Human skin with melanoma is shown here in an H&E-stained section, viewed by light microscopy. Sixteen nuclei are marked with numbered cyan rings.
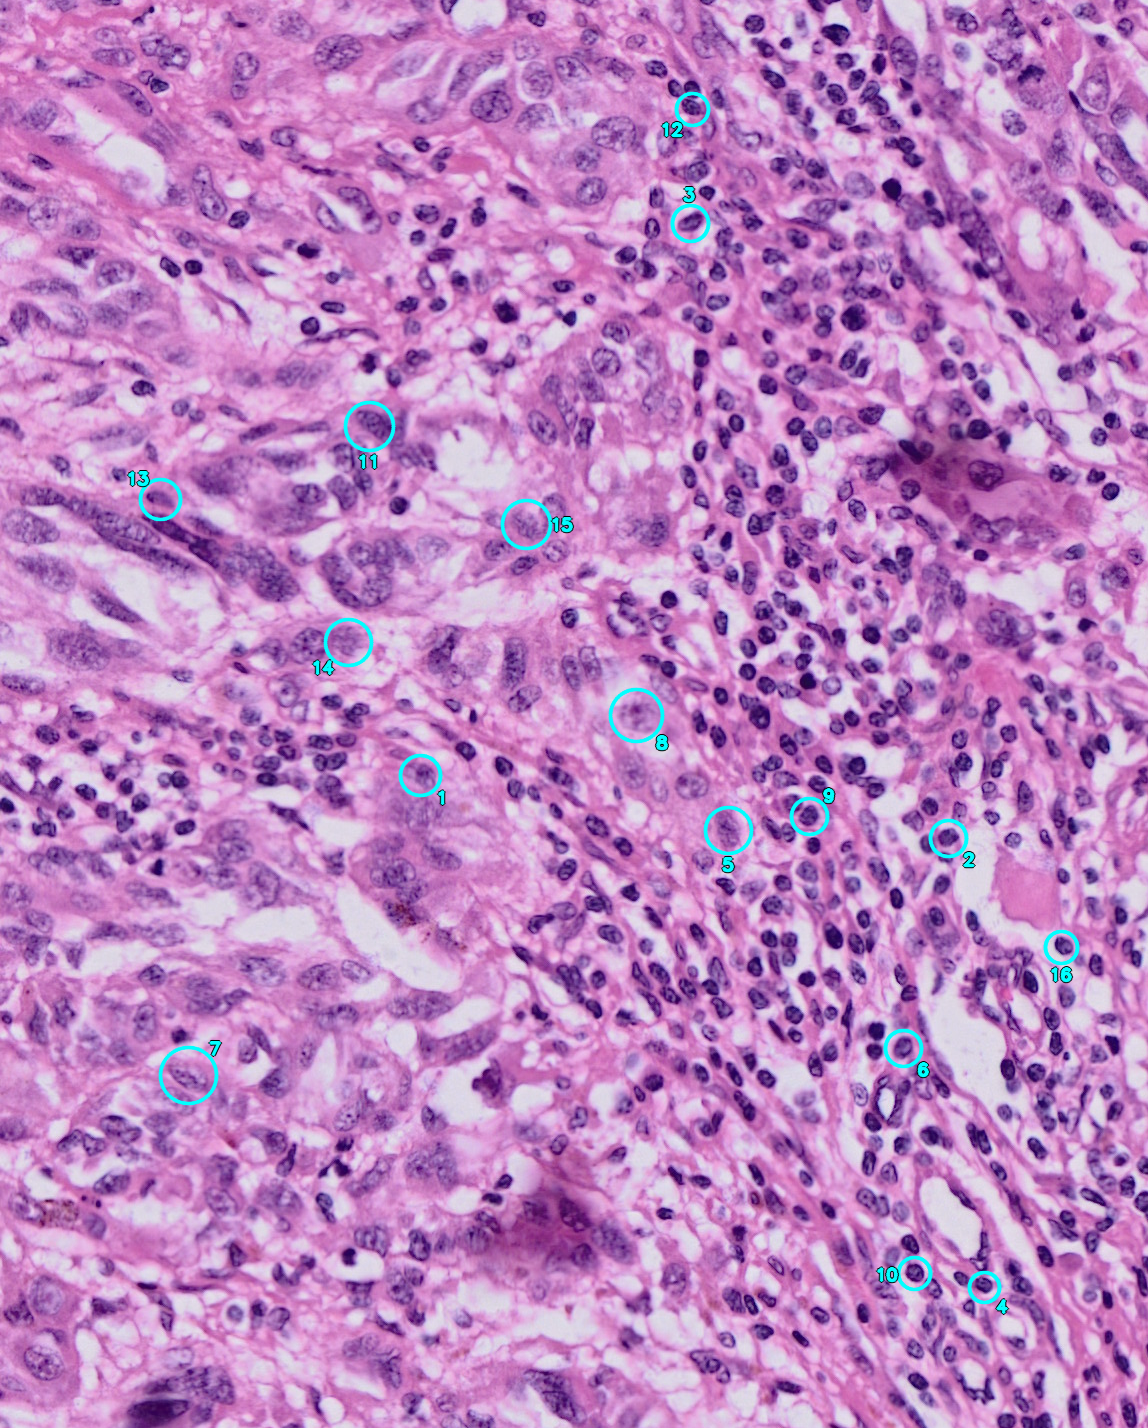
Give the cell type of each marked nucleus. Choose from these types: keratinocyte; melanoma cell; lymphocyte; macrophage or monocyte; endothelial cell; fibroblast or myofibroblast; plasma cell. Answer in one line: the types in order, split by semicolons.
melanoma cell; lymphocyte; lymphocyte; lymphocyte; melanoma cell; lymphocyte; melanoma cell; melanoma cell; lymphocyte; lymphocyte; melanoma cell; lymphocyte; macrophage or monocyte; melanoma cell; melanoma cell; lymphocyte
